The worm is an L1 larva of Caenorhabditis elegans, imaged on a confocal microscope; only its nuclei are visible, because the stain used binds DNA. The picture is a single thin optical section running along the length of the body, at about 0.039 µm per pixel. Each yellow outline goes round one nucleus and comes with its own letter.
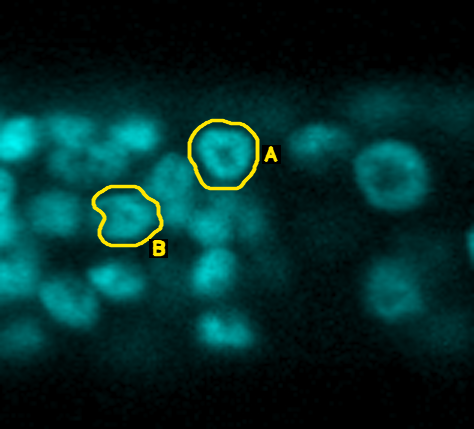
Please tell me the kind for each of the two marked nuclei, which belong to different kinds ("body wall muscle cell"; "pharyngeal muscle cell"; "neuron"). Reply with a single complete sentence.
The nucleus A is that of a body wall muscle cell, while B is that of a pharyngeal muscle cell.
